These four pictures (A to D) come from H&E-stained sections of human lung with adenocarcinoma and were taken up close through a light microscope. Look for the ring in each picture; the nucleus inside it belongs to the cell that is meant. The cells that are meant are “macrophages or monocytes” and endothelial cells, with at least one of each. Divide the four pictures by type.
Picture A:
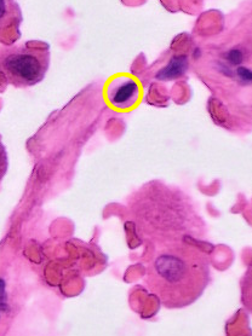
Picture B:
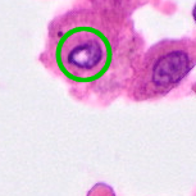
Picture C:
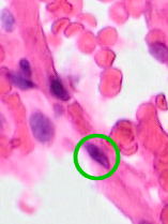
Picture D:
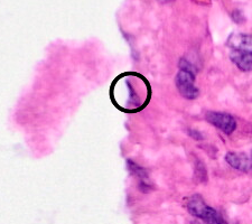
A: endothelial cell
B: macrophage or monocyte
C: endothelial cell
D: endothelial cell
